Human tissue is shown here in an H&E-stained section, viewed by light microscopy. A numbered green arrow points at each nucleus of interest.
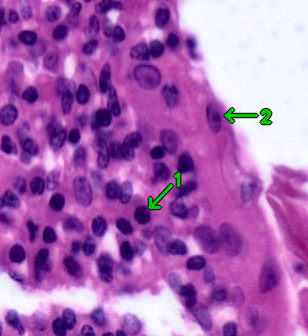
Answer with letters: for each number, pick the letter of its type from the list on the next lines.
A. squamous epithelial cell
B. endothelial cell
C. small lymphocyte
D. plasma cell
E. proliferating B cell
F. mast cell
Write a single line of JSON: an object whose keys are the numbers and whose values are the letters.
{"1": "D", "2": "A"}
